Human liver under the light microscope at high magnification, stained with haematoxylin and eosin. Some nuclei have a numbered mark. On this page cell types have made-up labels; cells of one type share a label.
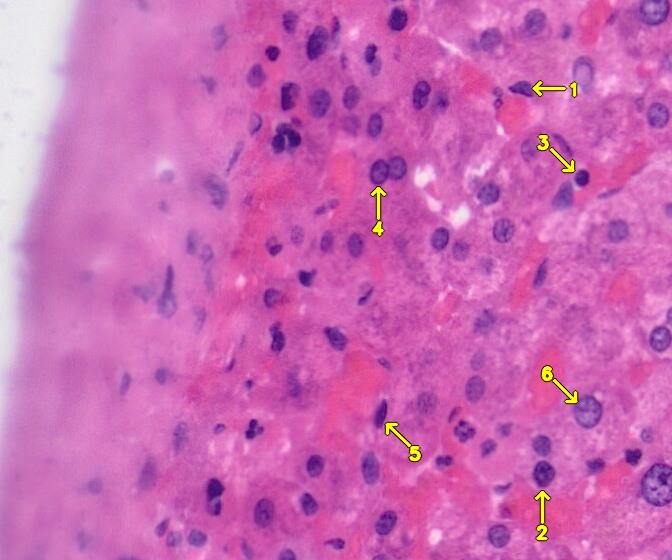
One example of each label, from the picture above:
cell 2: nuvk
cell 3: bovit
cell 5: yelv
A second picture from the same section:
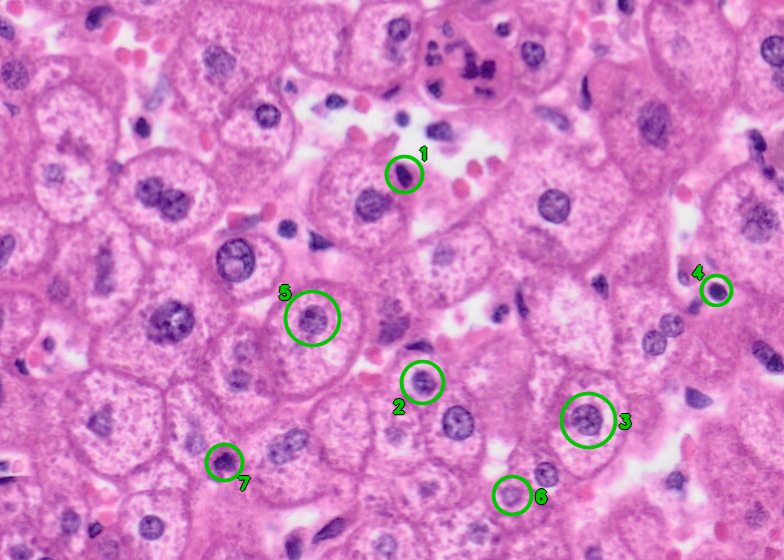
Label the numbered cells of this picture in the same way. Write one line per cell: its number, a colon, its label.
1: yelv
2: nuvk
3: nuvk
4: bovit
5: nuvk
6: nuvk
7: yelv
